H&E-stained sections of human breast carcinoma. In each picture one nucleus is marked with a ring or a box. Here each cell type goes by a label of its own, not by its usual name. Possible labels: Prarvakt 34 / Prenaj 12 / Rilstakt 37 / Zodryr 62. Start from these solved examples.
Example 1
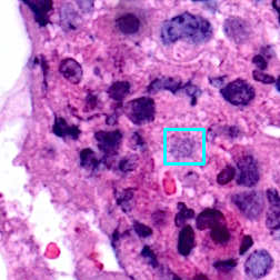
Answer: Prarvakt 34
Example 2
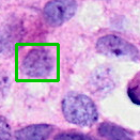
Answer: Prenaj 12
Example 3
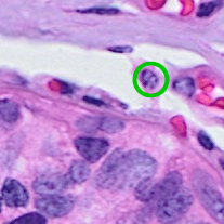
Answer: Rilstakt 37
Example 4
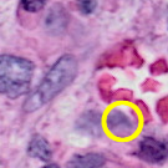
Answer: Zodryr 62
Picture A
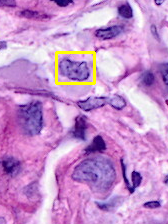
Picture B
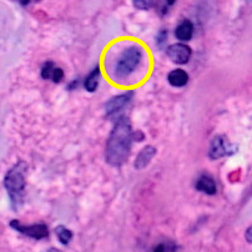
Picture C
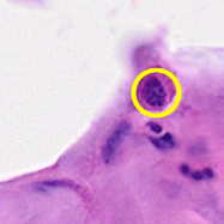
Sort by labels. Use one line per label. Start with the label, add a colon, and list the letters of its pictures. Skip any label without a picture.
Prarvakt 34: A
Rilstakt 37: B, C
